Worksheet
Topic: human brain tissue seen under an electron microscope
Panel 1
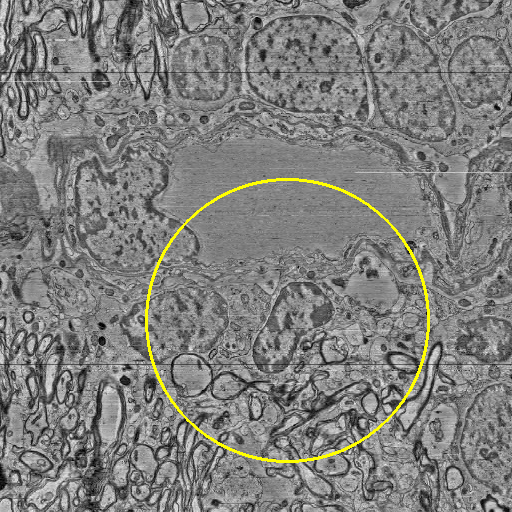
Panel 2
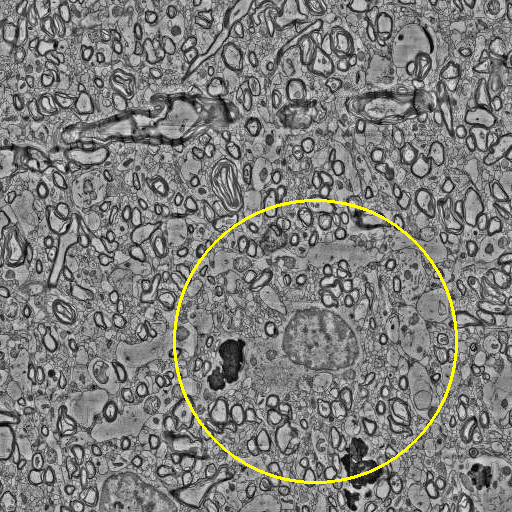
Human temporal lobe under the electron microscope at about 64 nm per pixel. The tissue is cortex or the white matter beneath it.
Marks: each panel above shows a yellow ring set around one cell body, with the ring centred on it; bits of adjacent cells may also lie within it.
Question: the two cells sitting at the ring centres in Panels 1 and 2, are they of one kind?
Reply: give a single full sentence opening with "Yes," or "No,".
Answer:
No, the two ring-centre cells in Panel 1 and Panel 2 are of two kinds.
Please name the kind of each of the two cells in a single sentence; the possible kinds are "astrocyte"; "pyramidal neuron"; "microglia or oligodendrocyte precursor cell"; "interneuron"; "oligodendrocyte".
In the first picture the ring is centred on a microglial cell or oligodendrocyte precursor cell, and in the second on an oligodendrocyte.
